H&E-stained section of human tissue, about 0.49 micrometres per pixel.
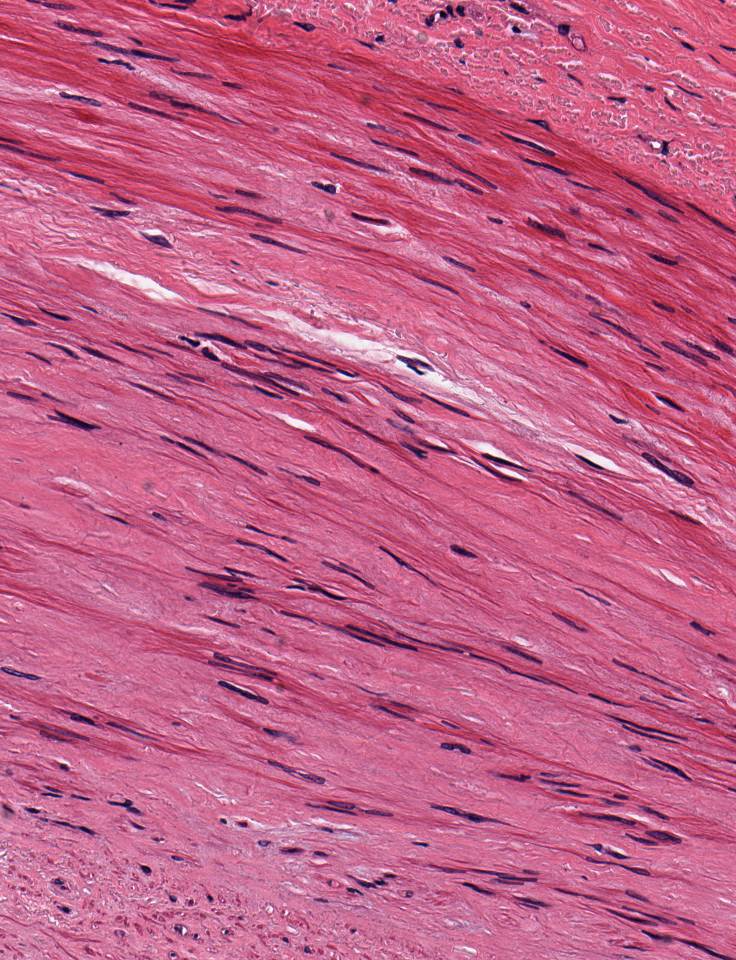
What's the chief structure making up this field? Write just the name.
tunica media of an artery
